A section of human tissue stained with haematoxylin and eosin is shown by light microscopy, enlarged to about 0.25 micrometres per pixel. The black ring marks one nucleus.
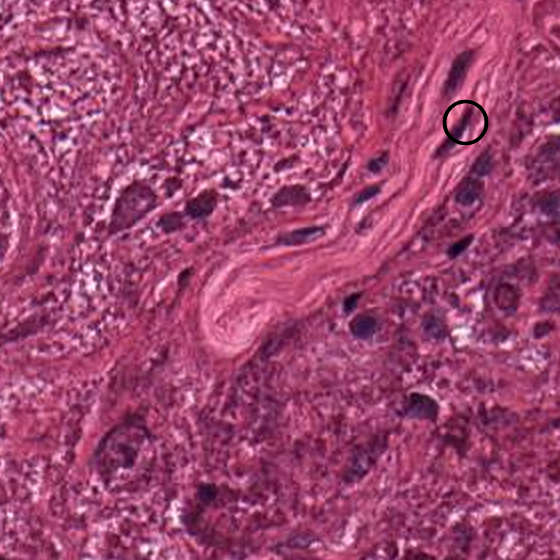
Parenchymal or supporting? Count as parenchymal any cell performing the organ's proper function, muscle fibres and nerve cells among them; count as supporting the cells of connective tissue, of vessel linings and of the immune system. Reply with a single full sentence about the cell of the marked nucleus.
As for the marked nucleus, it belongs to a supporting cell.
